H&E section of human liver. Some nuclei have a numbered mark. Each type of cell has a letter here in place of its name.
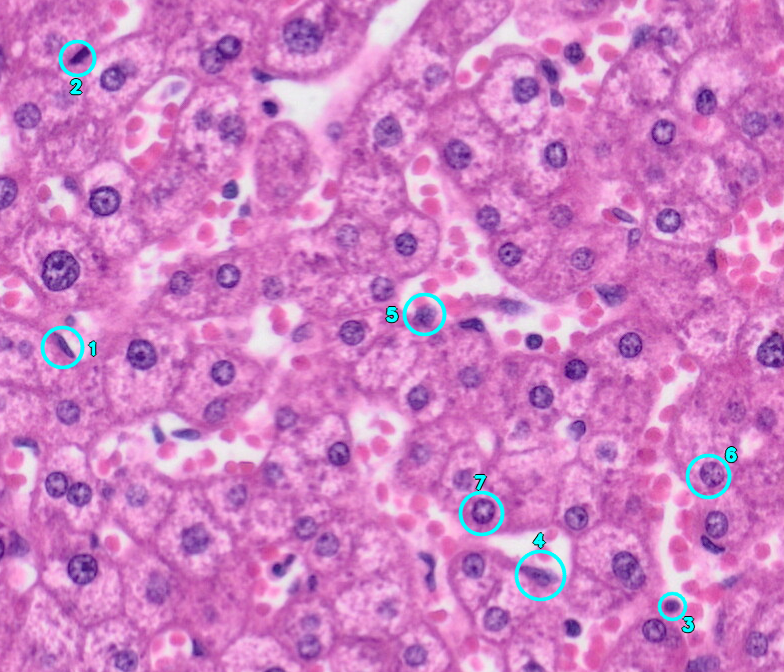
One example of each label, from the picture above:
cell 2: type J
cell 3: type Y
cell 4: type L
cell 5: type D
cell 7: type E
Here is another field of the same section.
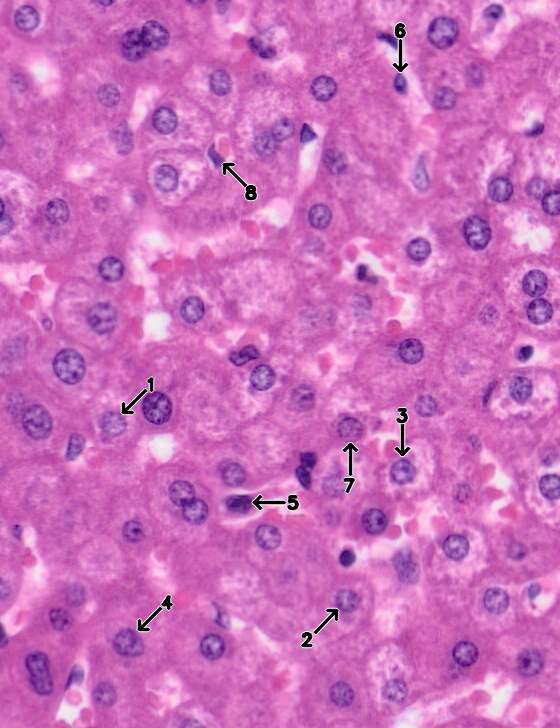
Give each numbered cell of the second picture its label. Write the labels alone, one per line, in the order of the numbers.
type E
type E
type E
type E
type L
type Y
type E
type D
